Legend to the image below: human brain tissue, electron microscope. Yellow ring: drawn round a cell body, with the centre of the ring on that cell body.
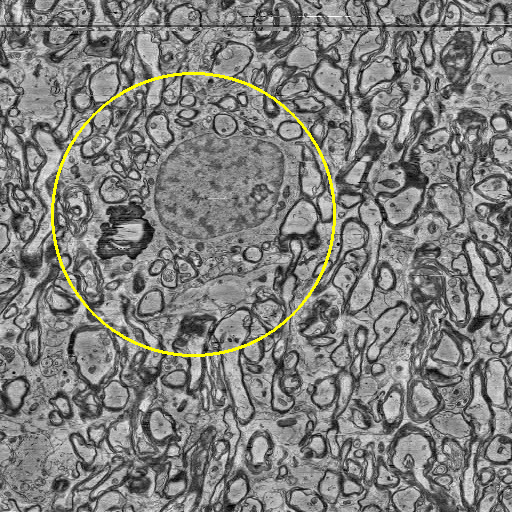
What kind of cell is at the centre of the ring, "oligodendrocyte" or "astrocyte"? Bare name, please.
oligodendrocyte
